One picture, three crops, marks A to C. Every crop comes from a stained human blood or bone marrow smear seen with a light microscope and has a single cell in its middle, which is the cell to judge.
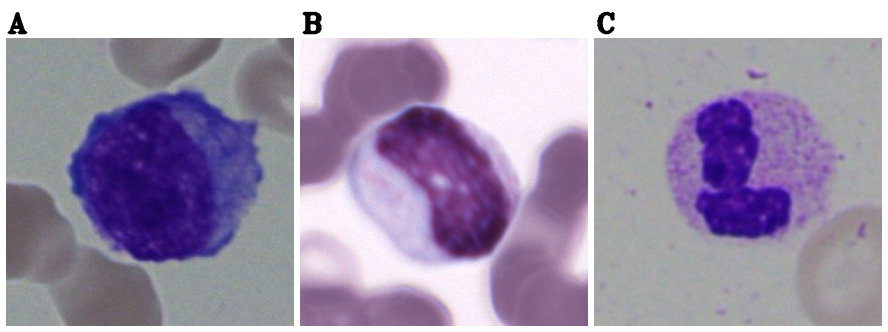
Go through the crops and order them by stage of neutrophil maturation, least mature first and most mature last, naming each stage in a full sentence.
In order of increasing maturity, the crops run crop A (a promyelocyte), crop B (a band neutrophil) and crop C (a segmented neutrophil).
